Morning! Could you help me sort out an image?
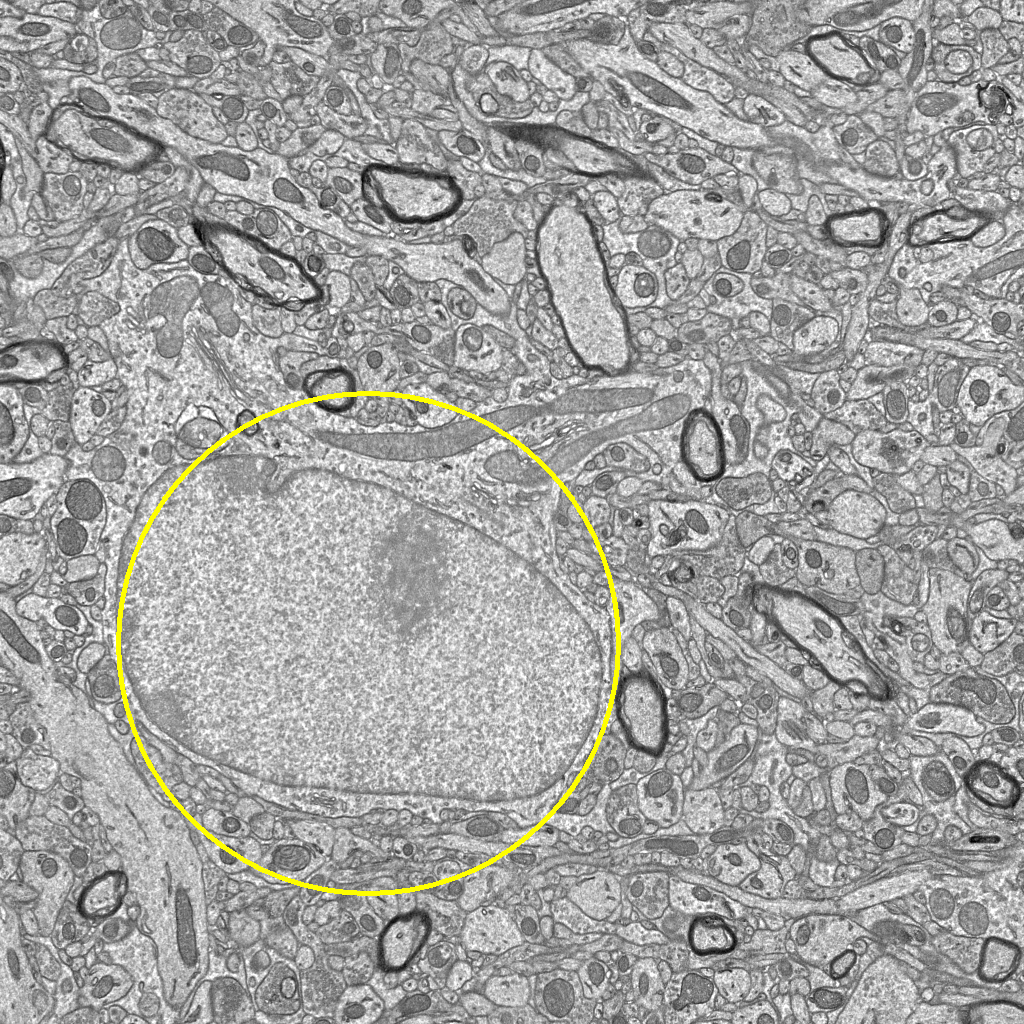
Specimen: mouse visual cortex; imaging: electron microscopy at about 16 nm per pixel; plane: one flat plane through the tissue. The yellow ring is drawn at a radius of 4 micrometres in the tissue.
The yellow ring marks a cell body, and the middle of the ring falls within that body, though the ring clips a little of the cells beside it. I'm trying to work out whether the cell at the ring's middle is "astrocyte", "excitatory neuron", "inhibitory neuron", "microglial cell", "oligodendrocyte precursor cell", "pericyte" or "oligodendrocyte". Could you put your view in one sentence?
The cell body at the ring's middle is that of an astrocyte.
